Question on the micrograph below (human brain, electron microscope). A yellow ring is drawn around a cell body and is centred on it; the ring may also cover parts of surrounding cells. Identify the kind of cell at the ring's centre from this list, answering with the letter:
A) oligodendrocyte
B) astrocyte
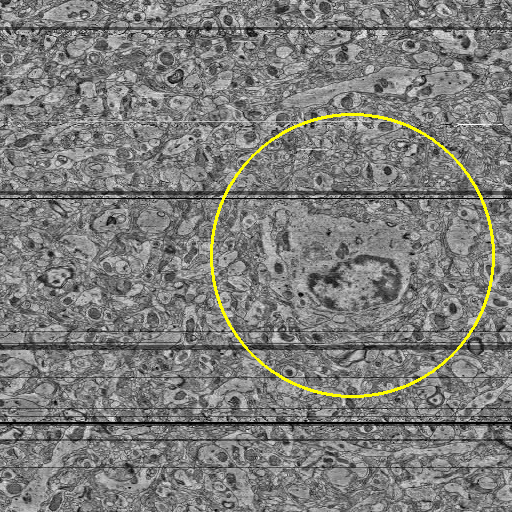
B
